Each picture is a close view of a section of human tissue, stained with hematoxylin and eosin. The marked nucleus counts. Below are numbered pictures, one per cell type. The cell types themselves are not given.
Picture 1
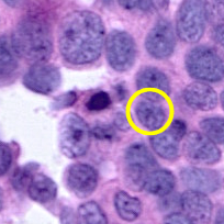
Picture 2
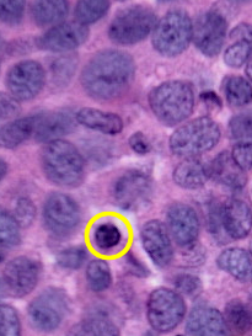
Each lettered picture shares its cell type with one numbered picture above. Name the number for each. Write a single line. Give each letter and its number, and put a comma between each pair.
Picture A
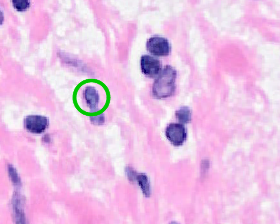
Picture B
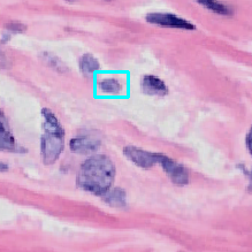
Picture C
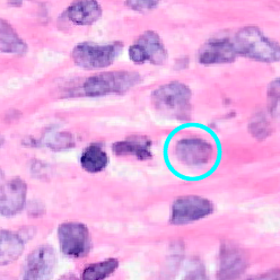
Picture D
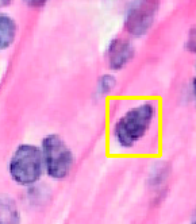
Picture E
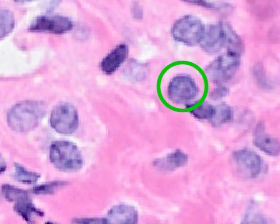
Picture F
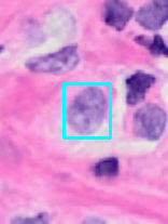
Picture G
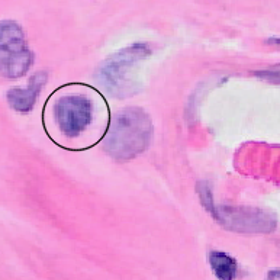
A 2, B 2, C 1, D 2, E 1, F 1, G 2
